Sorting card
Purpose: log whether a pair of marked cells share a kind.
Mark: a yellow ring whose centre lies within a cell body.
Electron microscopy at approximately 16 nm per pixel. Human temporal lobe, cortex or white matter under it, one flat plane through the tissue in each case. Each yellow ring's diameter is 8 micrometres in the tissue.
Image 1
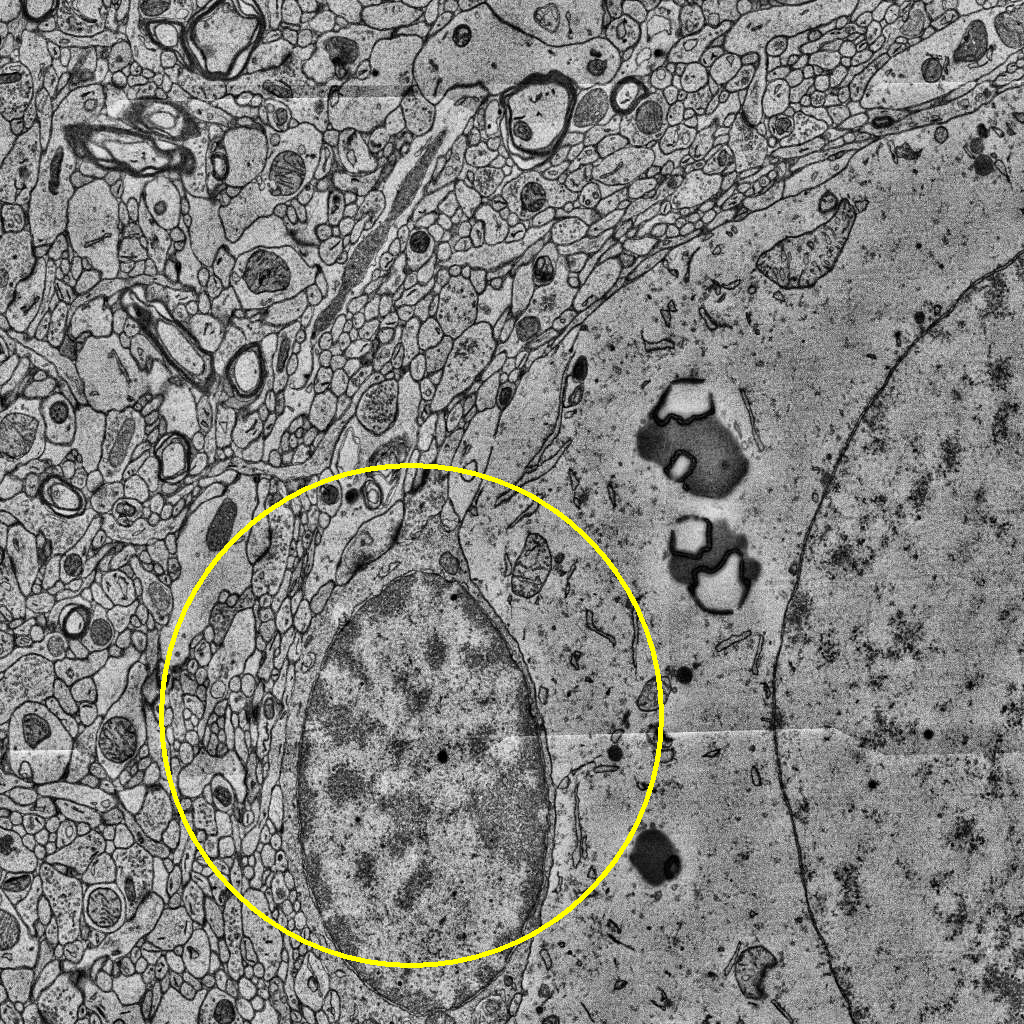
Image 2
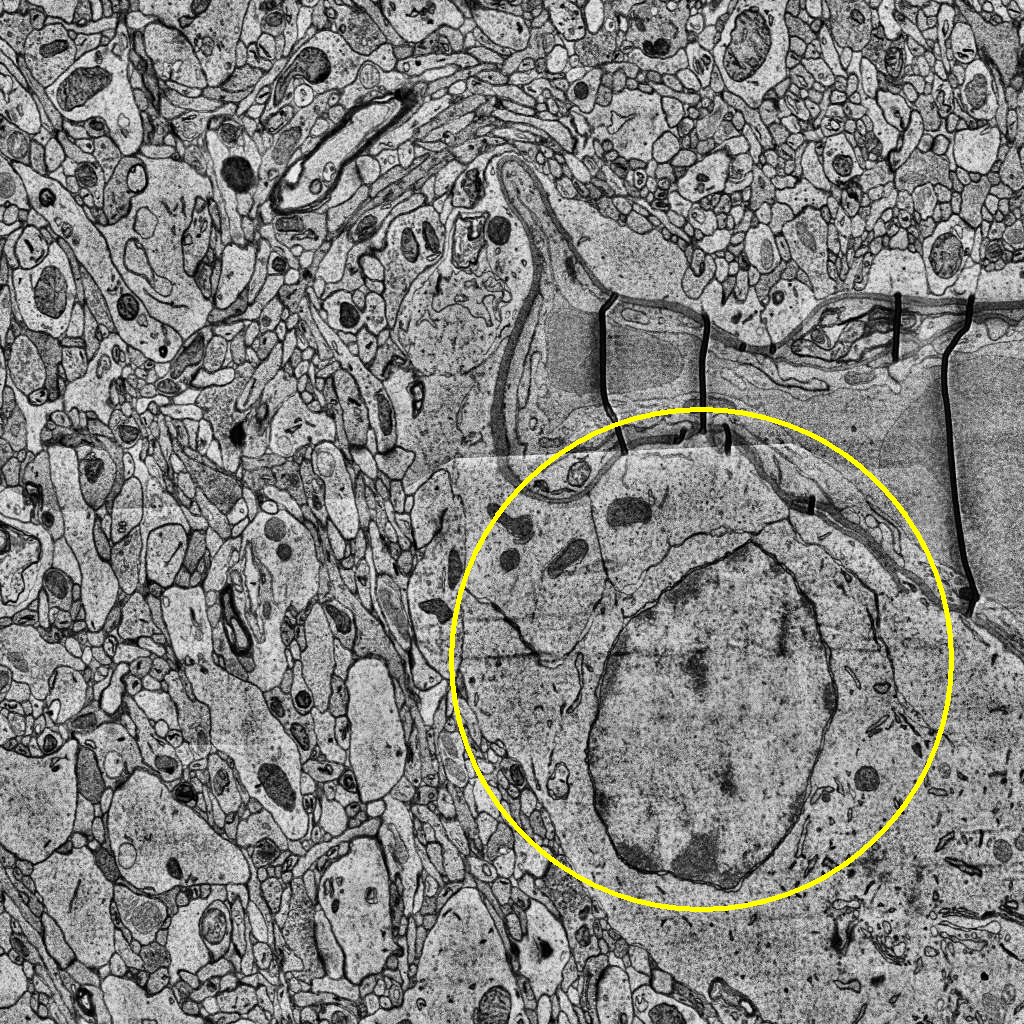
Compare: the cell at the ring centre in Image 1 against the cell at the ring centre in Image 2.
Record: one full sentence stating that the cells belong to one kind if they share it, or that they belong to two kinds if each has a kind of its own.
Across Images 1 and 2, the two cells at the ring centres belong to two kinds.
